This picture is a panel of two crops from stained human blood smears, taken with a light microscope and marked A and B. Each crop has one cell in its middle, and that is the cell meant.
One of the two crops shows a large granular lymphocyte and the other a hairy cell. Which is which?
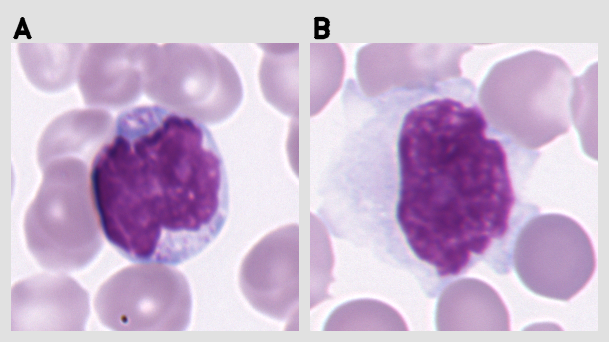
A: large granular lymphocyte
B: hairy cell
